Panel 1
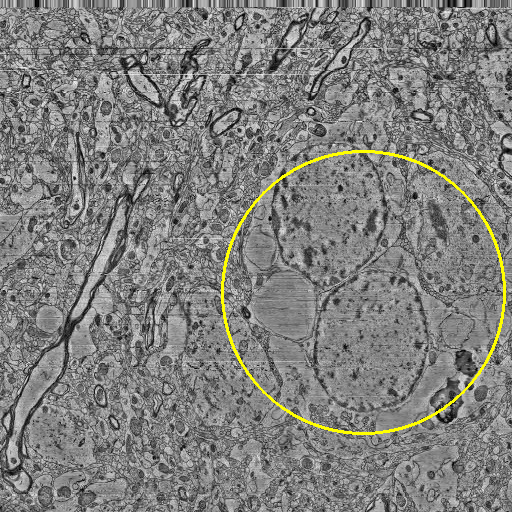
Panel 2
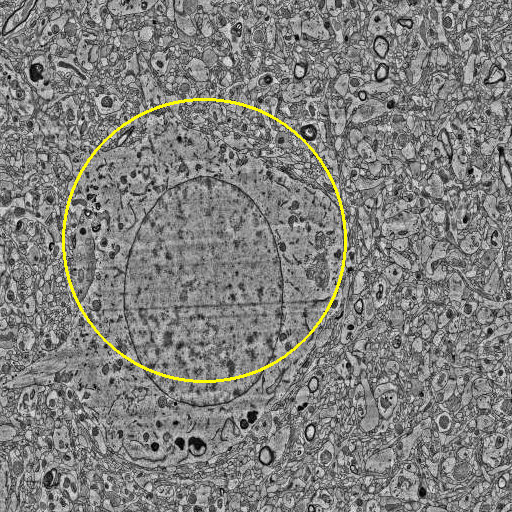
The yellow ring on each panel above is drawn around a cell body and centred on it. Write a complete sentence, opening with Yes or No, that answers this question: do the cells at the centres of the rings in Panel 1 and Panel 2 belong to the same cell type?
No, the two cells belong to two cell types.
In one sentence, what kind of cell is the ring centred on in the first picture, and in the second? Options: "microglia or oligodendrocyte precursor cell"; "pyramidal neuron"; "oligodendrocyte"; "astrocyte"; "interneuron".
The cell at the centre of the second ring is a pyramidal neuron; the first ring's cell is an astrocyte.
